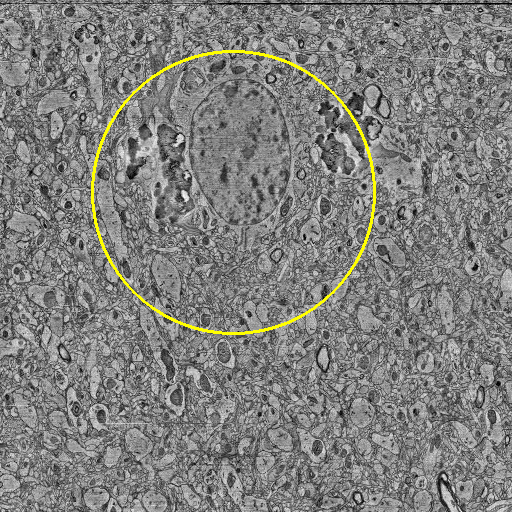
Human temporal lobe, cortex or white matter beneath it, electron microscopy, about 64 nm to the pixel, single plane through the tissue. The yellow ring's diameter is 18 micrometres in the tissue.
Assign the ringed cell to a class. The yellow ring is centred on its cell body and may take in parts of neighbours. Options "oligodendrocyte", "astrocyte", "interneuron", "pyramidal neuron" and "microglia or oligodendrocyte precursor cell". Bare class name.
astrocyte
